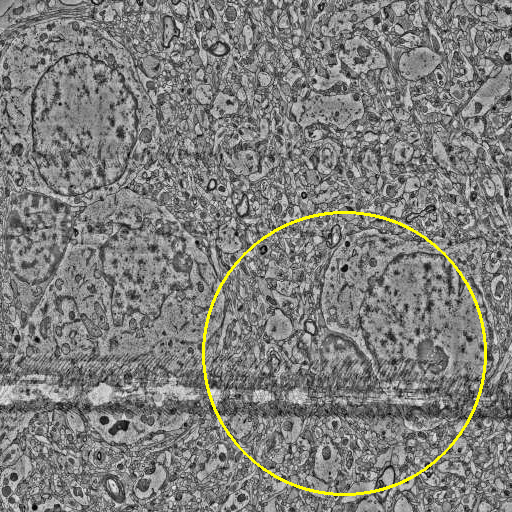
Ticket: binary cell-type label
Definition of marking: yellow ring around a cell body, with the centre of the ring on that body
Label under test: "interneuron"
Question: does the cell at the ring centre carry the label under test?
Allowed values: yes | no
no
